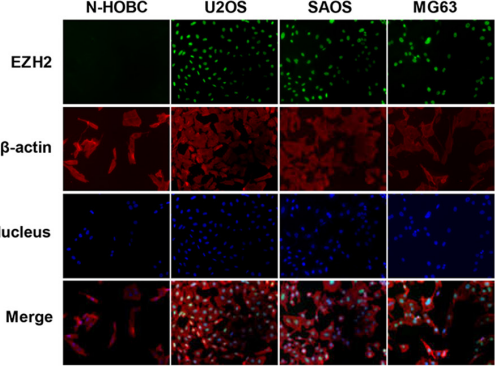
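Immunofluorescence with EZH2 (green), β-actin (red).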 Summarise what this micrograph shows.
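In most columns the cells are densely packed and the green signal forms compact spots lying over the nuclei, while in one column the cells are sparse and show almost no green. In the merged row the green and blue overlap within the red cell bodies.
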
